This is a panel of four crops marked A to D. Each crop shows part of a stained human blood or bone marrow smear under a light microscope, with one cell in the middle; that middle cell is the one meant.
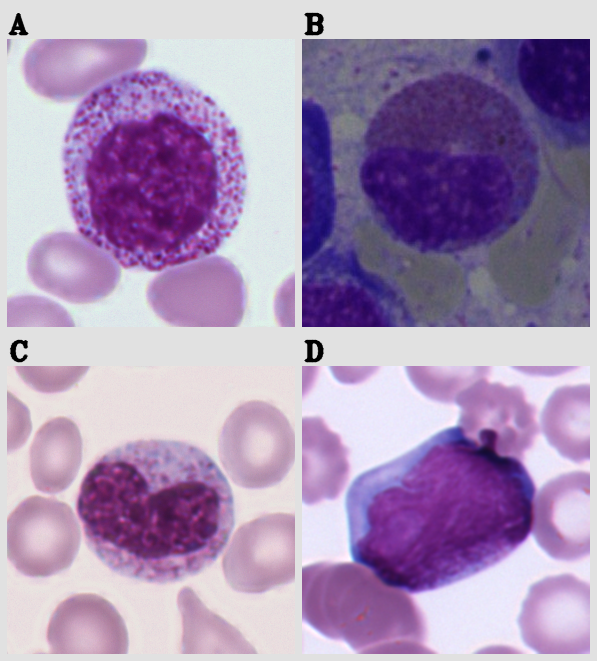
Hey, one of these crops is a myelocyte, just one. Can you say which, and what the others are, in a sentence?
So crop A shows a myelocyte, while crop B is an eosinophil, crop C is a band neutrophil and crop D is a blast.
